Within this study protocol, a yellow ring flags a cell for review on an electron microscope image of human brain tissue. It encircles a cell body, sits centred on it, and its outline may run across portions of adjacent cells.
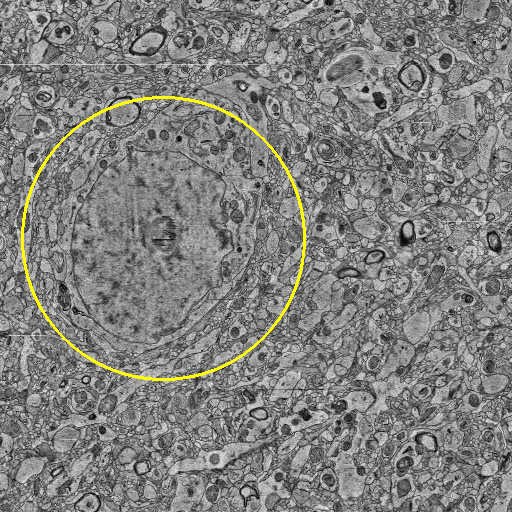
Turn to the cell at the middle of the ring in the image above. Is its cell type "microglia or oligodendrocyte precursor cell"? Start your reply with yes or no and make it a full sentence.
No, the cell at the ring's centre in the image above has another cell type.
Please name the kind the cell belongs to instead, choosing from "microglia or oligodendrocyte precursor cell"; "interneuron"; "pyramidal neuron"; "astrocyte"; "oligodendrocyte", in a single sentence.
Instead, the cell at the centre of the yellow ring is an interneuron.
